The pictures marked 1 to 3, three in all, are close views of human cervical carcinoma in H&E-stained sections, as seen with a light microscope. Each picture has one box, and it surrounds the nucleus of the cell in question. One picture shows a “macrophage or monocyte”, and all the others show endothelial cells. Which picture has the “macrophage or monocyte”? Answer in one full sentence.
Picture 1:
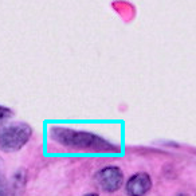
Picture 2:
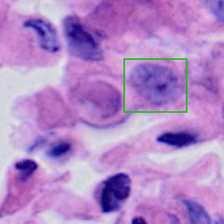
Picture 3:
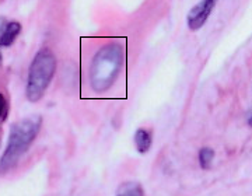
The cell in picture 2 is the “macrophage or monocyte”.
